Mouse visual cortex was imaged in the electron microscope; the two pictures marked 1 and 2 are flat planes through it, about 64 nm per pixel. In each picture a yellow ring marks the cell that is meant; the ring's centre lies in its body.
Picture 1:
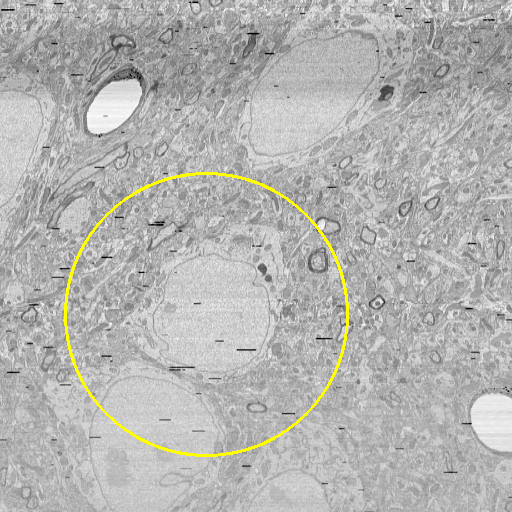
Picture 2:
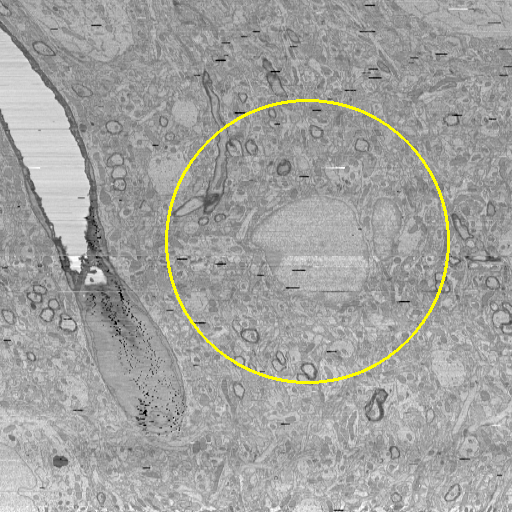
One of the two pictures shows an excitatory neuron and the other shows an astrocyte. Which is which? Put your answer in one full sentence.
It is picture 1 that shows an excitatory neuron, and picture 2 that shows an astrocyte.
